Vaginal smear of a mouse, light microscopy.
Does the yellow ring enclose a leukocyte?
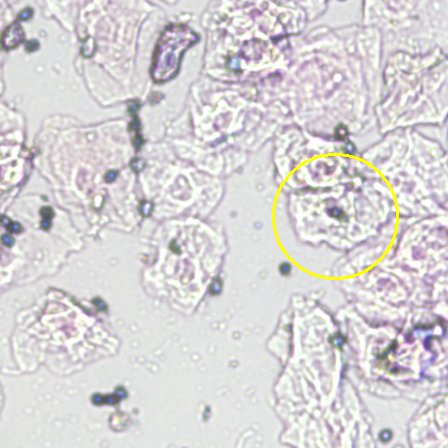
No. The ring encloses a cornified epithelial cell.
